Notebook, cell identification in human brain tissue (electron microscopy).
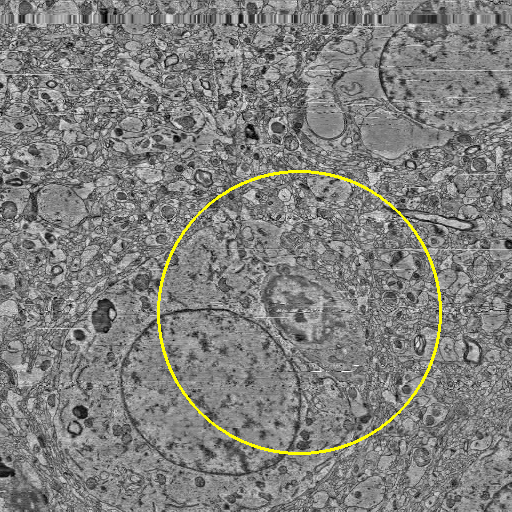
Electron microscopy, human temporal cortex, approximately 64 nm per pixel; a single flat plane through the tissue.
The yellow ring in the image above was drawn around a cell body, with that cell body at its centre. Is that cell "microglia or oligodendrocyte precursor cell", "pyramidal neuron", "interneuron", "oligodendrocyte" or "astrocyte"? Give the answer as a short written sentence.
The cell in the ring is an oligodendrocyte.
